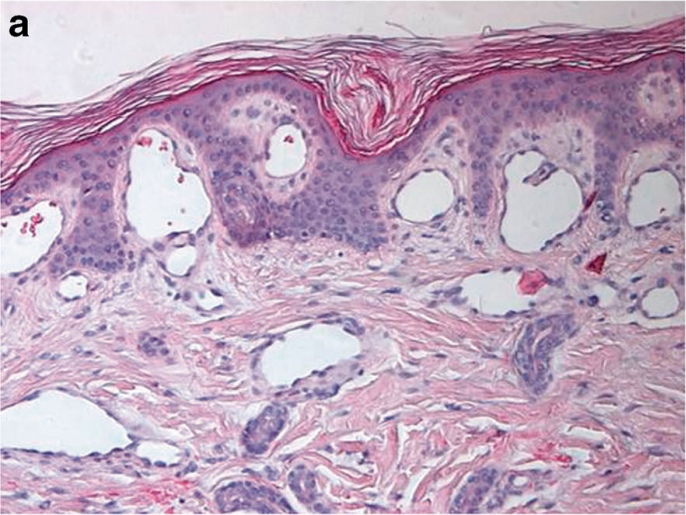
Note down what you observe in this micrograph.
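Skin with keratinized stratified squamous epidermis and a pink, laminated surface horny layer over a dermis containing many dilated thin-walled vessels. The vessels lie just under the epidermis, some pressed into the dermal papillae, and more lie deeper among pink collagen bundles. Their lumina are wide and mostly empty, lined by a single layer of flat cells, with occasional red cells inside. Small basophilic clusters of adnexal epithelium lie between the deeper vessels.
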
